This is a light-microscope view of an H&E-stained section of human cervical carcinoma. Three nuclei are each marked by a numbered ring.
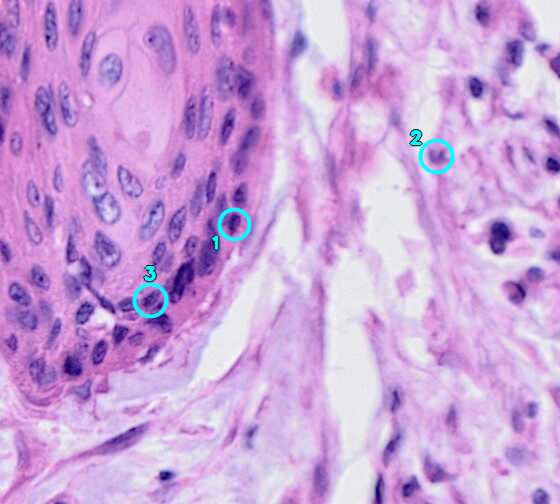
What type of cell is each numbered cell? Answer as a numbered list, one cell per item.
1. squamous carcinoma cell
2. macrophage or monocyte
3. squamous carcinoma cell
